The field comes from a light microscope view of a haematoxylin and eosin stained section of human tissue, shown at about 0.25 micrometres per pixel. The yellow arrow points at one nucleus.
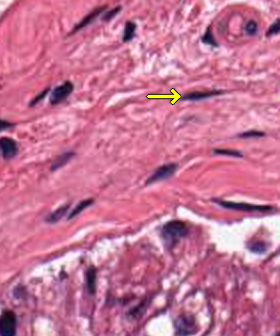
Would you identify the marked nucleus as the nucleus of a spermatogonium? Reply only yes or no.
no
